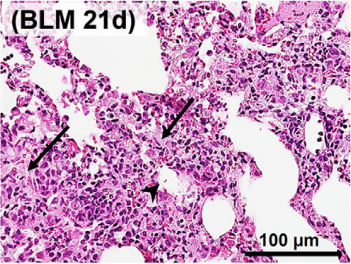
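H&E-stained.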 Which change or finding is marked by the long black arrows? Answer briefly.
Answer: Connective tissue deposition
